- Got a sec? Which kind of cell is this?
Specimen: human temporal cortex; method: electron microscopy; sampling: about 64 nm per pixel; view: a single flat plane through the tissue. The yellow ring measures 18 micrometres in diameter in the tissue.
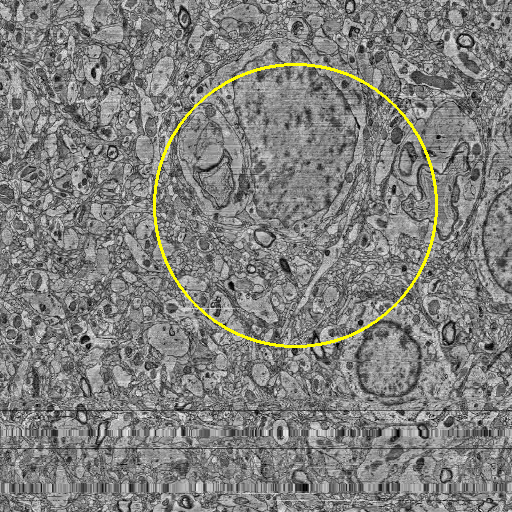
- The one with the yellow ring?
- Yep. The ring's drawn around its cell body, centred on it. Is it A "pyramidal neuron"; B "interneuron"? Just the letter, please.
B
